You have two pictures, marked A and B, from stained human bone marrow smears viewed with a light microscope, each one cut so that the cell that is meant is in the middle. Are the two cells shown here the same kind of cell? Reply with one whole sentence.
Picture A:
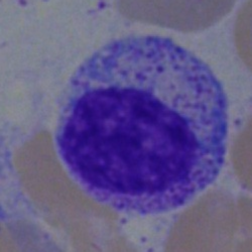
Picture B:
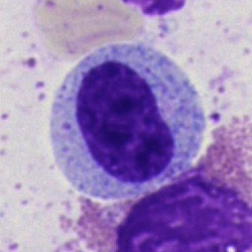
Yes; the cells in both pictures are myelocytes.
